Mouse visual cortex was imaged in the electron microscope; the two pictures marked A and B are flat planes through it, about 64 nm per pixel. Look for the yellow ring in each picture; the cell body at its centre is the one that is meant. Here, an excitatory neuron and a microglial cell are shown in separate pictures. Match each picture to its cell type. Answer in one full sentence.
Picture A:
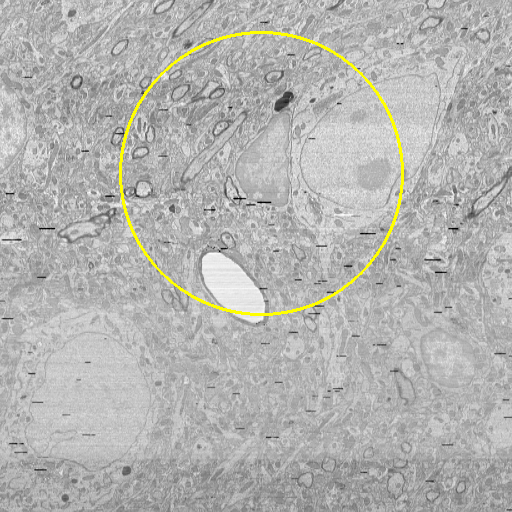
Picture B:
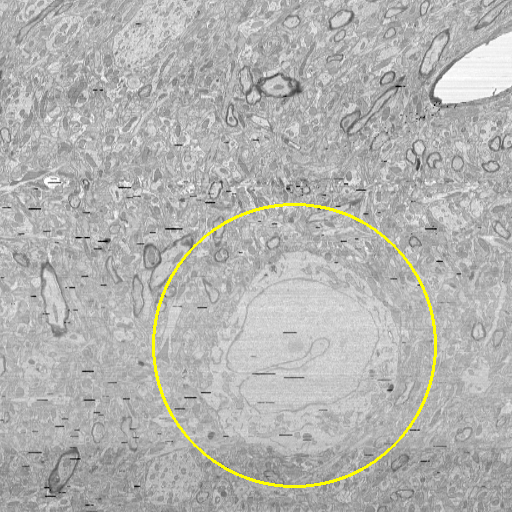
Picture A shows a microglial cell and picture B shows an excitatory neuron.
